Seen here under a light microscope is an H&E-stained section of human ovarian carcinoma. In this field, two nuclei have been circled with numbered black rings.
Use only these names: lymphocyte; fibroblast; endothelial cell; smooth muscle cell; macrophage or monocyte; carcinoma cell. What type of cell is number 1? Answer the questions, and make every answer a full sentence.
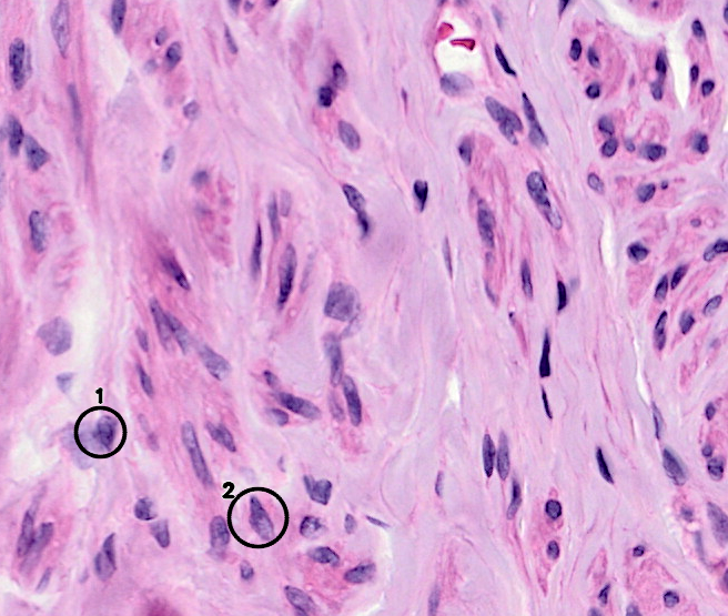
The cell to which the number 1 is assigned is a fibroblast.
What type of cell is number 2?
The expected answer is that cell 2 is a smooth muscle cell.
